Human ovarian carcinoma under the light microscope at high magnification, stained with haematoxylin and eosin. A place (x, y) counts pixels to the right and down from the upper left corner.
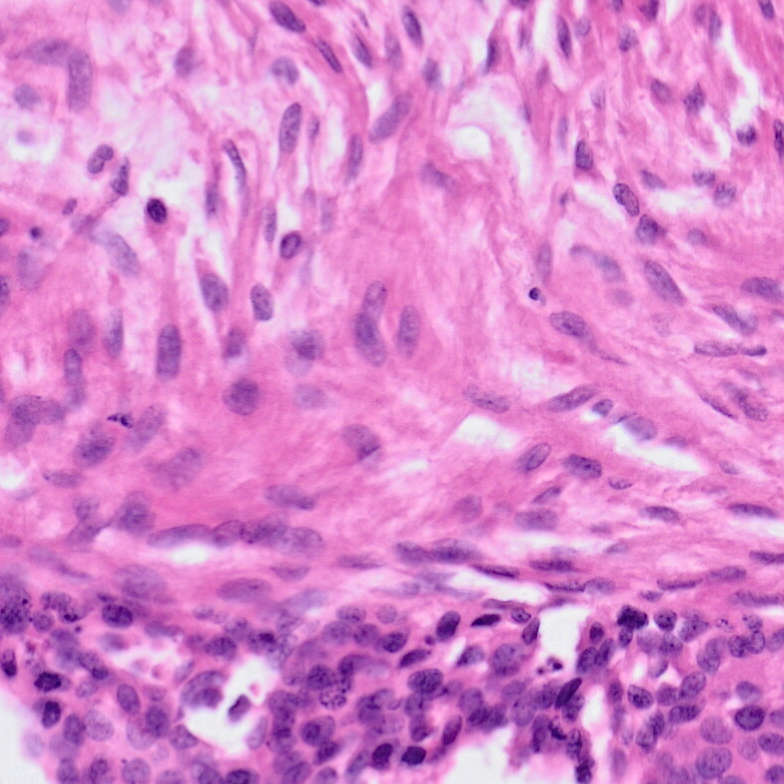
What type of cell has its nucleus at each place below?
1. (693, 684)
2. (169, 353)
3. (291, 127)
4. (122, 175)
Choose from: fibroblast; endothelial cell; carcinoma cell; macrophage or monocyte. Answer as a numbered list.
1. carcinoma cell
2. fibroblast
3. fibroblast
4. fibroblast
